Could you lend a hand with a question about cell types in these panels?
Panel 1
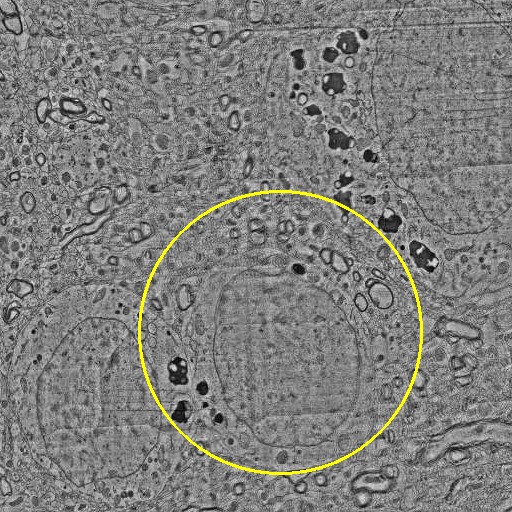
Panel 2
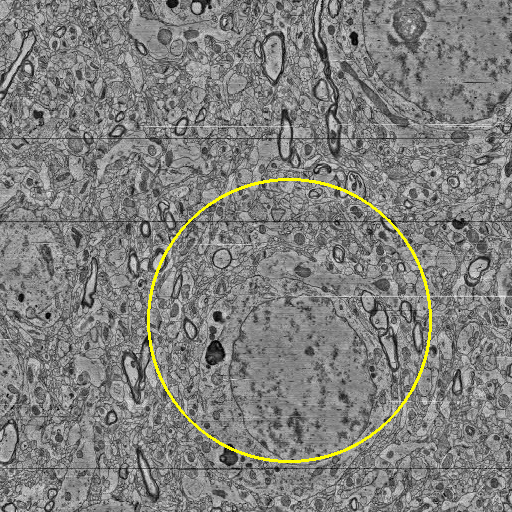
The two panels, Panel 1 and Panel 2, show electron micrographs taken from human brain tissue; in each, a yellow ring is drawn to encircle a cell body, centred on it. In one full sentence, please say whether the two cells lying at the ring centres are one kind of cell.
Yes, the cells at the ring centres in the two panels are one kind of cell.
